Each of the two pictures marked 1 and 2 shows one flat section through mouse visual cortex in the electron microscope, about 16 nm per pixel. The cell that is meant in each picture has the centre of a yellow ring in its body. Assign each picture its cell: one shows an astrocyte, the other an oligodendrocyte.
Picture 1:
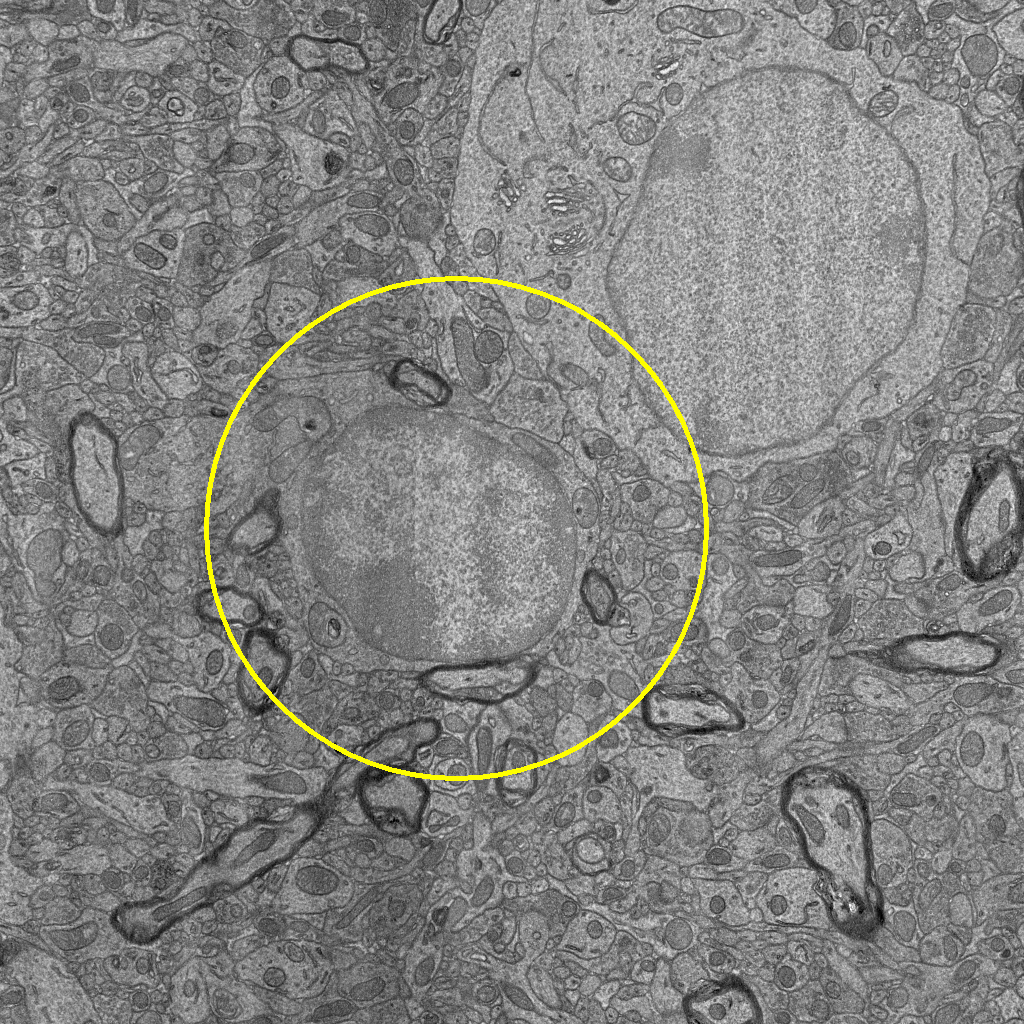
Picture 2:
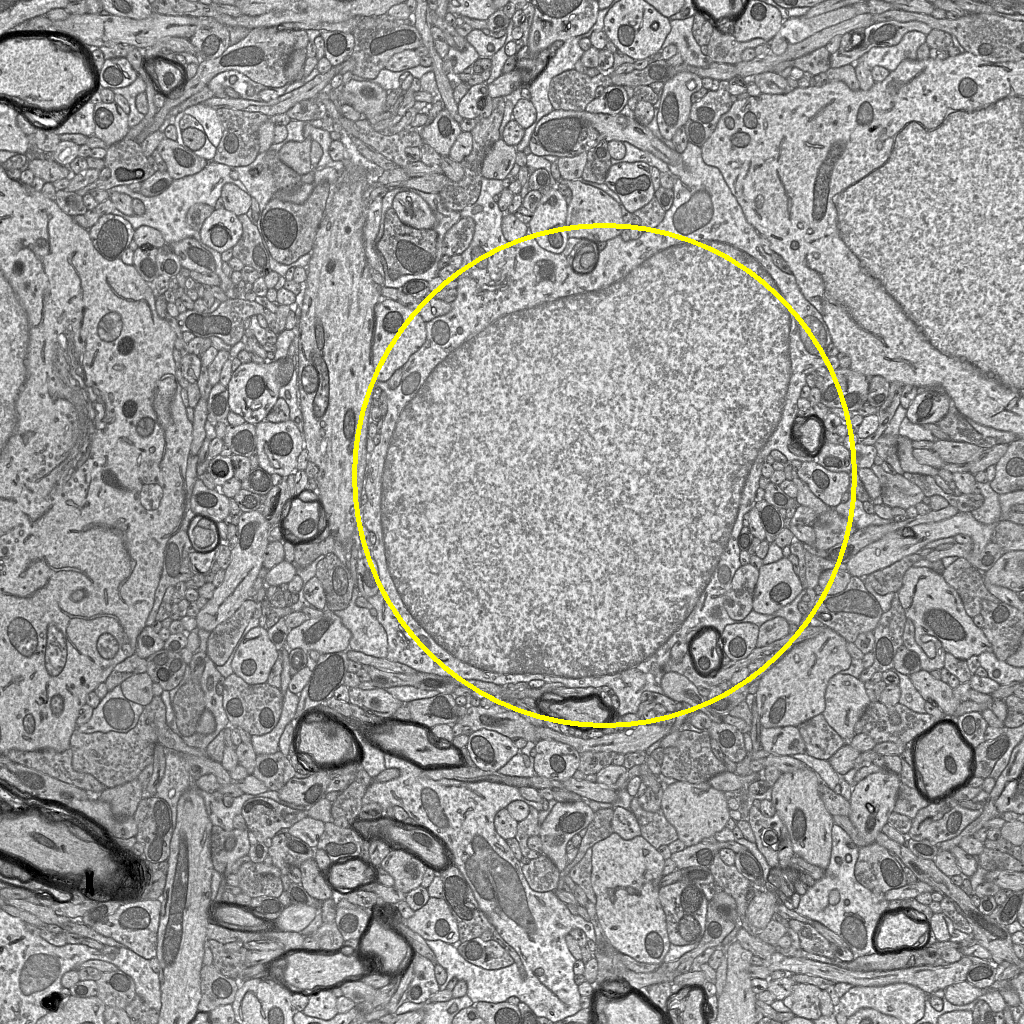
Picture 2 shows an astrocyte, while picture 1 shows an oligodendrocyte.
